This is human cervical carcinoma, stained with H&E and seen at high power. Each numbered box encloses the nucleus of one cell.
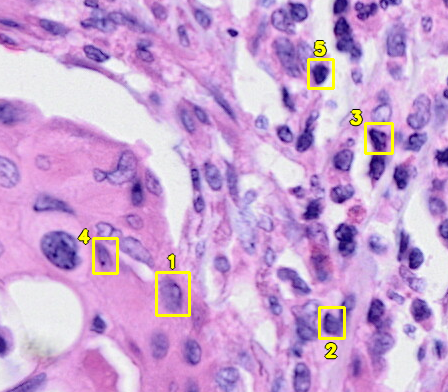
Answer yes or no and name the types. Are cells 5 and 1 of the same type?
No, classify cell 5 as a lymphocyte and cell 1 as a squamous carcinoma cell.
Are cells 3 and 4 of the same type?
No, cell number 3 is a lymphocyte, and cell number 4 is a squamous carcinoma cell.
